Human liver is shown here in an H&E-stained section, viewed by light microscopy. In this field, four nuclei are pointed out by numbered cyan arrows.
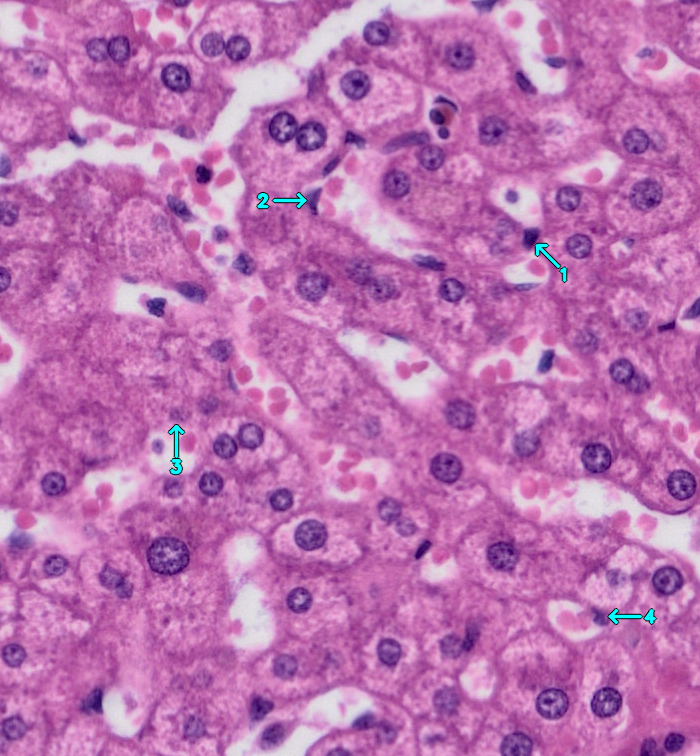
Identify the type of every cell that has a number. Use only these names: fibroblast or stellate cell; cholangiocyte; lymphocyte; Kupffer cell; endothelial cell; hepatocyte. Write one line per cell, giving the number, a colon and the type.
1: fibroblast or stellate cell
2: endothelial cell
3: hepatocyte
4: Kupffer cell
